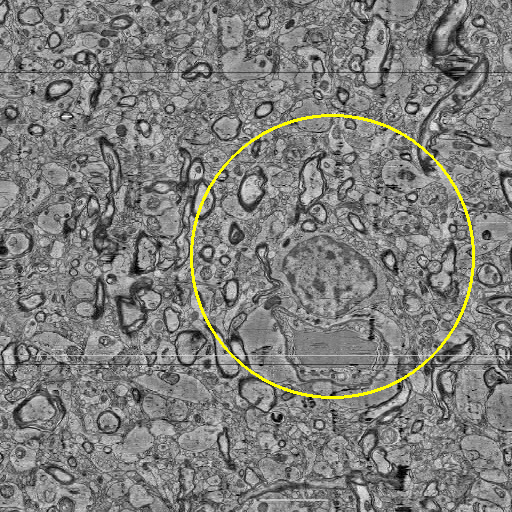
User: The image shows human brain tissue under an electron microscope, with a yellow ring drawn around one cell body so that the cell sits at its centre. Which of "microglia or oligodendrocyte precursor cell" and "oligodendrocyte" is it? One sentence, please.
At the centre of the ring sits an oligodendrocyte.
